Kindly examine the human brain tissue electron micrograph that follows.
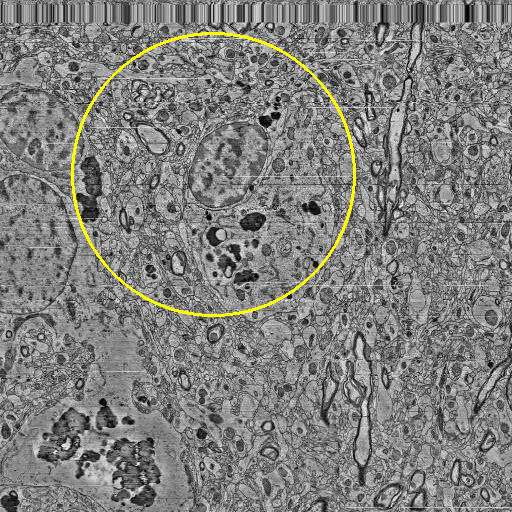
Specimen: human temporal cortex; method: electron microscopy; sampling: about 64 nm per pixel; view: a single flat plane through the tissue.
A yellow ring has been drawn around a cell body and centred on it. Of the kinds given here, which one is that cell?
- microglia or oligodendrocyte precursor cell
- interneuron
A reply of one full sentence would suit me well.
The micrograph's ringed cell, the one at the ring's centre, is a microglial cell or oligodendrocyte precursor cell.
